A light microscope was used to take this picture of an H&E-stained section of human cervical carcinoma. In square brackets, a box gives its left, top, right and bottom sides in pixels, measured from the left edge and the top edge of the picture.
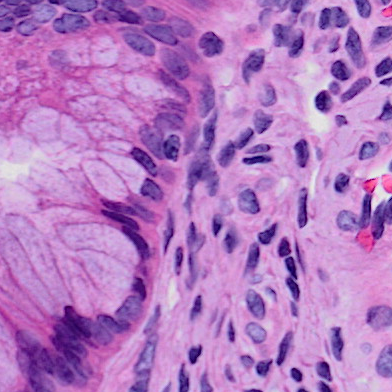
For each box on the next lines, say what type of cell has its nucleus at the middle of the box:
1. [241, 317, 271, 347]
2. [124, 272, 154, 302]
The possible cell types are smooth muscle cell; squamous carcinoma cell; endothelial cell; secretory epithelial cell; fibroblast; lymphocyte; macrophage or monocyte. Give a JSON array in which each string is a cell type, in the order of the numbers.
["endothelial cell", "secretory epithelial cell"]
